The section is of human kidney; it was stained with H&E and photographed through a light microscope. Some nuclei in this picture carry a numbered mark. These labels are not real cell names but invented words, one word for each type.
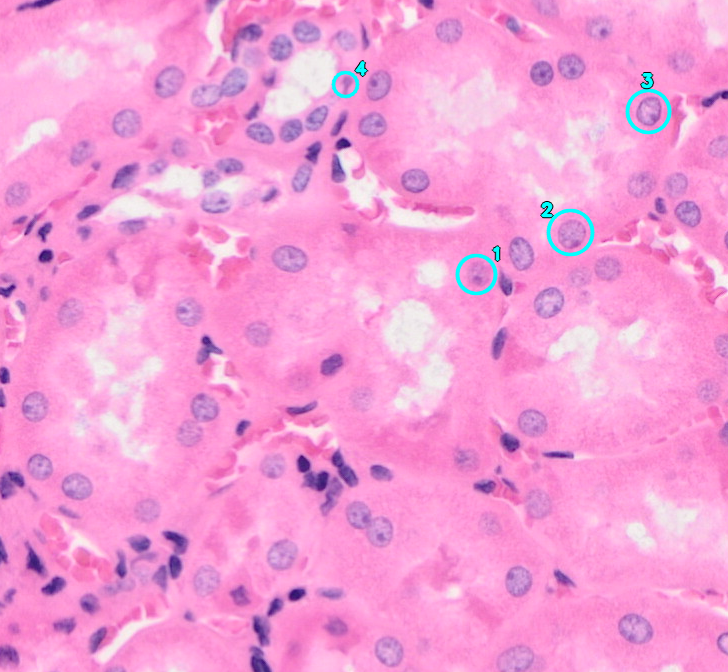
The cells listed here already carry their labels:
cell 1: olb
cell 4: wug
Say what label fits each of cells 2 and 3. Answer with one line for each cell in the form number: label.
2: olb
3: olb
